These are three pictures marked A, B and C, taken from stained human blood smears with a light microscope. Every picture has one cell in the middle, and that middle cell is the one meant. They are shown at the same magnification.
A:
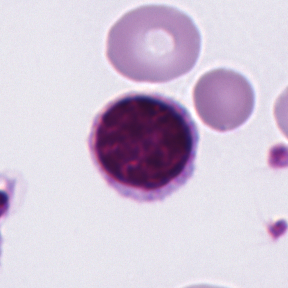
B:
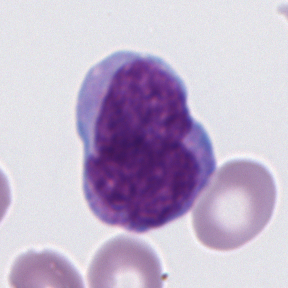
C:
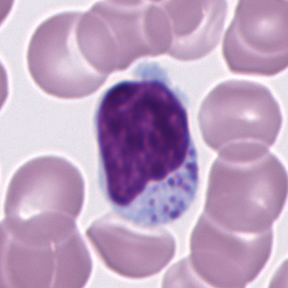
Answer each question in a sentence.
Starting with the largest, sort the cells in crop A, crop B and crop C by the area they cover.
The order is B, C, A, beginning with the largest.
